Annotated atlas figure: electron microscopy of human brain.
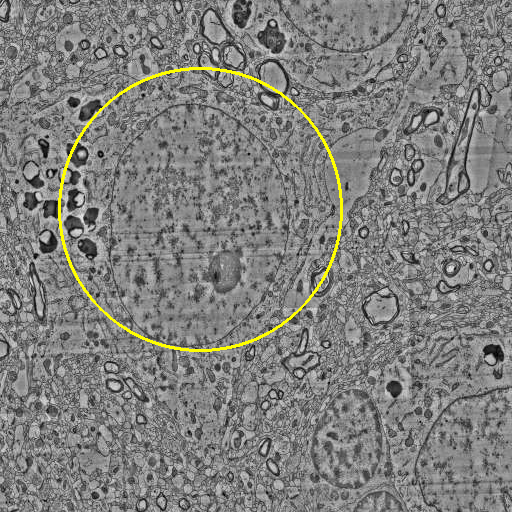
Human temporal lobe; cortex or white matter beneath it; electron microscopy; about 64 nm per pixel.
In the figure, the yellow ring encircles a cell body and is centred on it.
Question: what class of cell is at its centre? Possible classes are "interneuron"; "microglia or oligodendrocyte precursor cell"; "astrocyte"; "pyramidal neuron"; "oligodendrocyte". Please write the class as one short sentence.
The yellow ring is drawn around a pyramidal neuron.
